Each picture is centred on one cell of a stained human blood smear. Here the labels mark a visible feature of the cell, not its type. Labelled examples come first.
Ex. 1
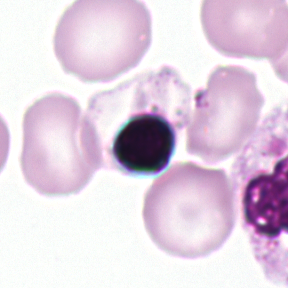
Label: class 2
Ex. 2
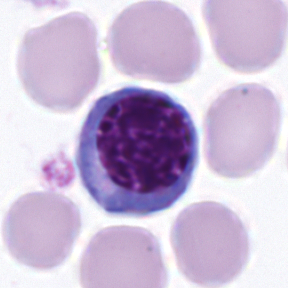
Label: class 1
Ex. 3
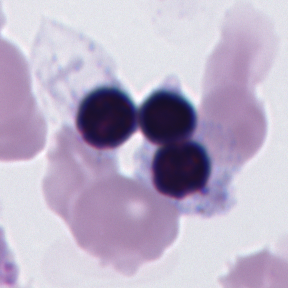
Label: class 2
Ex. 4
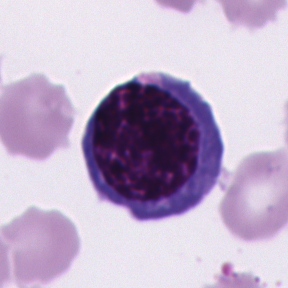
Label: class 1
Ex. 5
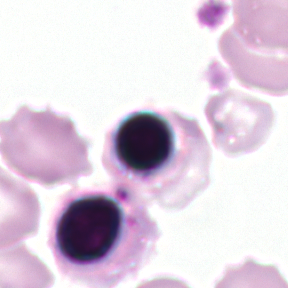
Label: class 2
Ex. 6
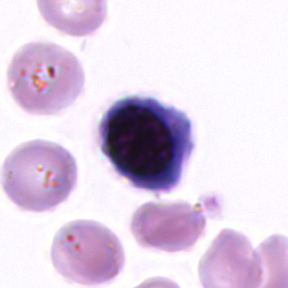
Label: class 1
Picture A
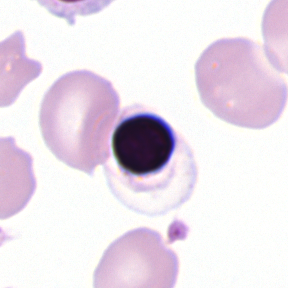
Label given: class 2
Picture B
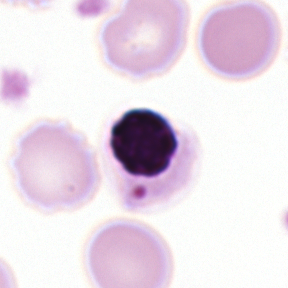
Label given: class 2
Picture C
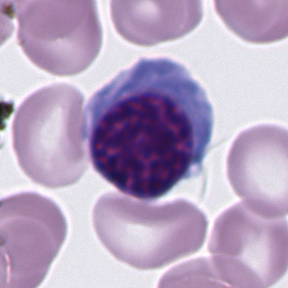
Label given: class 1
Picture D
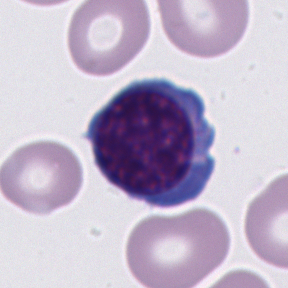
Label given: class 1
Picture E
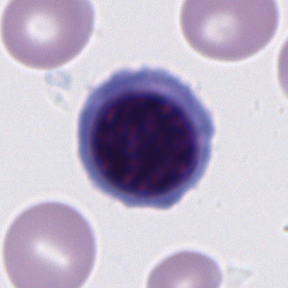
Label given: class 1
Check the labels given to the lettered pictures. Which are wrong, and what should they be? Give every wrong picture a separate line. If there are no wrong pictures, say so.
None of the labels needs changing.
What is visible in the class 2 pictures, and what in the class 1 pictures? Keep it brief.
class 2, pink or nearly colourless cytoplasm; class 1, deep or dark blue cytoplasm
